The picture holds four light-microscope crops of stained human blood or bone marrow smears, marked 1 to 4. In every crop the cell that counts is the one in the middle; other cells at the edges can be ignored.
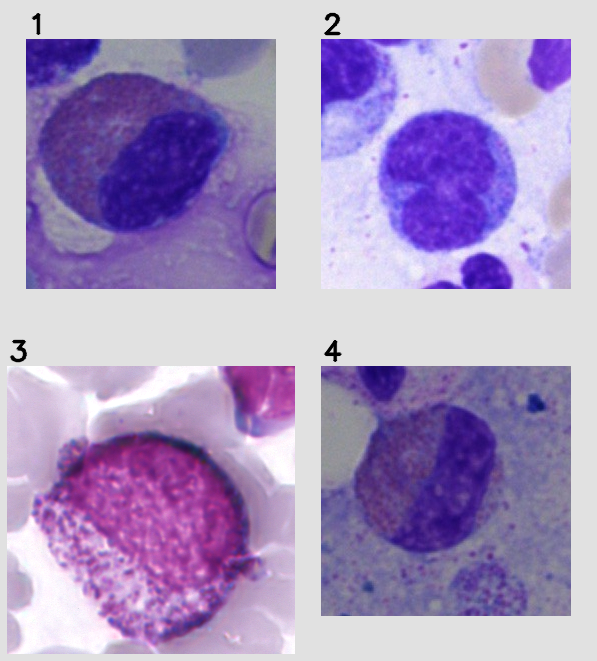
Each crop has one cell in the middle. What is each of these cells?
1: eosinophil
2: monocyte
3: promyelocyte
4: eosinophil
